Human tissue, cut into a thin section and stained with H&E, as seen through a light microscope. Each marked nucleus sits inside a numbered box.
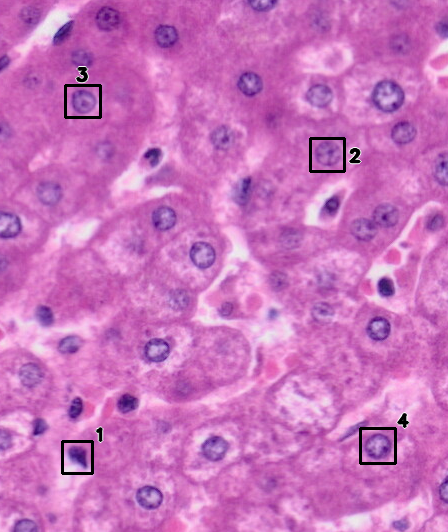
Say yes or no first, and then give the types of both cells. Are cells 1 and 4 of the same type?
No, cell 1 is an endothelial cell and cell 4 is a hepatocyte.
